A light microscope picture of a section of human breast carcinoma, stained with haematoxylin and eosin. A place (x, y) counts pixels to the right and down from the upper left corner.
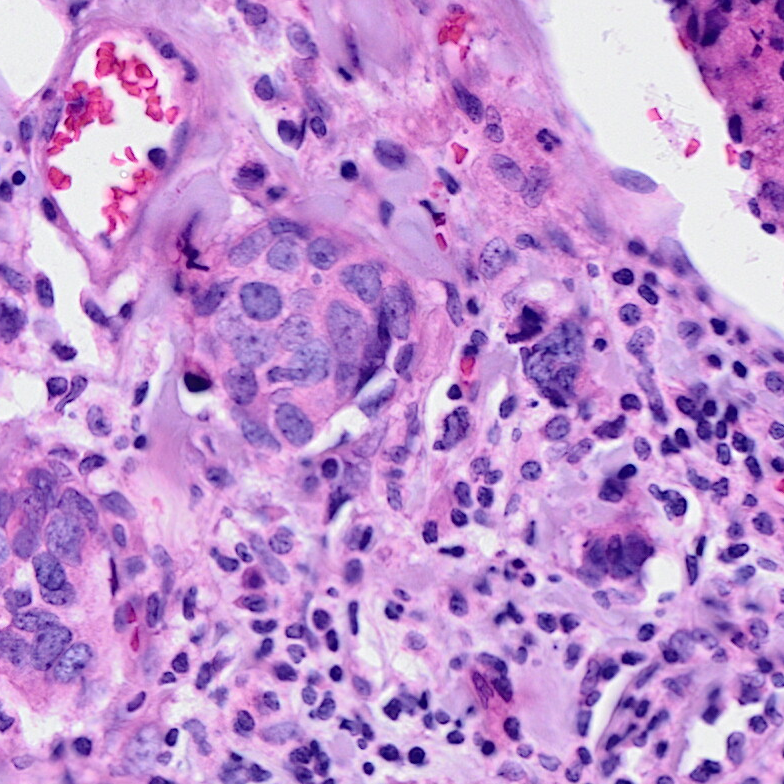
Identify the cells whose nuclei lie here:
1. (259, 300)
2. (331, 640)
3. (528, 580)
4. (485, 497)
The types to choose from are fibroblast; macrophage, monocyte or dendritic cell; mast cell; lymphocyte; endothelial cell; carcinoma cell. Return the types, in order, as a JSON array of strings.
["carcinoma cell", "lymphocyte", "lymphocyte", "lymphocyte"]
